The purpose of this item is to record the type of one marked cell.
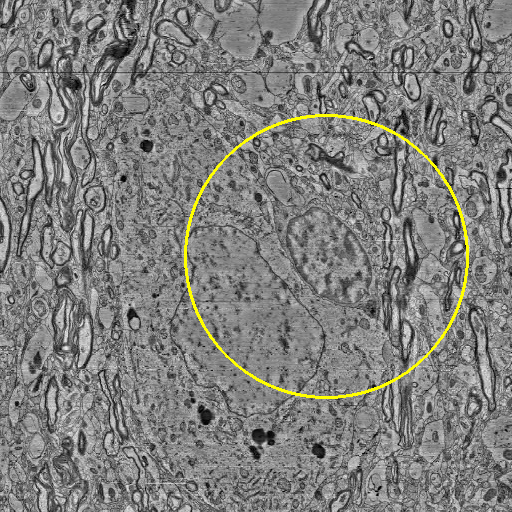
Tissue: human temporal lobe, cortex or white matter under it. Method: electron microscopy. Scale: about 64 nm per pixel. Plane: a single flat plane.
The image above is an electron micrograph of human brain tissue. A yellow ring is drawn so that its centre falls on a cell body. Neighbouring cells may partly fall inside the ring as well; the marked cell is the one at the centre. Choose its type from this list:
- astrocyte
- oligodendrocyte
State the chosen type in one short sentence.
What the ring marks here is an oligodendrocyte.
